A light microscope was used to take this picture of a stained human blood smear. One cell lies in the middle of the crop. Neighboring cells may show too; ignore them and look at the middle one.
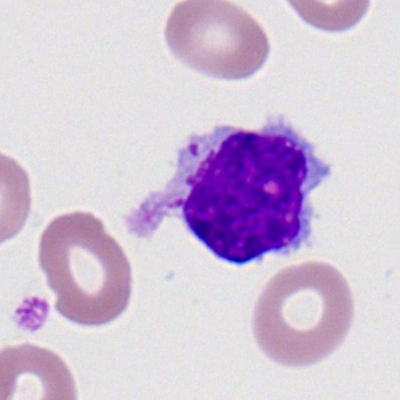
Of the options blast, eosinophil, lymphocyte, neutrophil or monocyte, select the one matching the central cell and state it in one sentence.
At the center of the crop sits a lymphocyte.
